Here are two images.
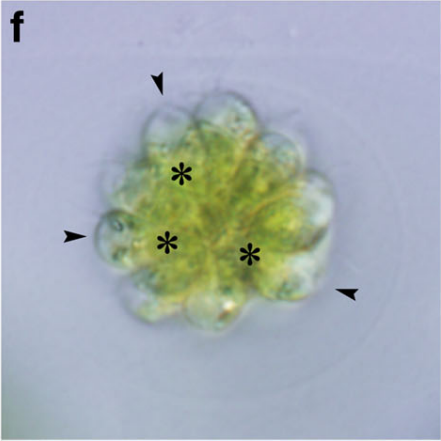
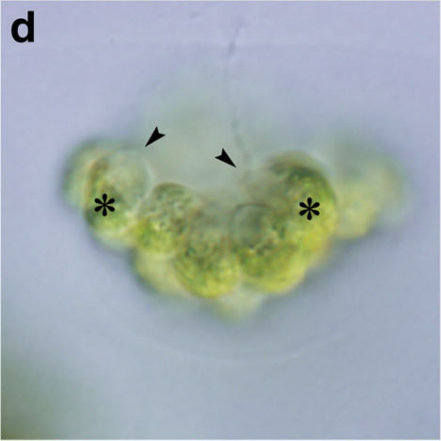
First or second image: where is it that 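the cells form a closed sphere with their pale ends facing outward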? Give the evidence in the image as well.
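First image: the cells make a rounded cluster with pale ends around the outer rim. Second image: the cells form a curved, cup-like plate with pale ends on the concave upper side.
The first image.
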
